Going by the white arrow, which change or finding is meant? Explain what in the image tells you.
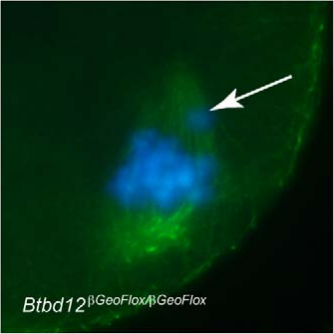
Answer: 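A small blue body lies apart from the main blue mass. It sits toward one pole of the green spindle rather than at its middle. So: misaligned chromosomes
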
